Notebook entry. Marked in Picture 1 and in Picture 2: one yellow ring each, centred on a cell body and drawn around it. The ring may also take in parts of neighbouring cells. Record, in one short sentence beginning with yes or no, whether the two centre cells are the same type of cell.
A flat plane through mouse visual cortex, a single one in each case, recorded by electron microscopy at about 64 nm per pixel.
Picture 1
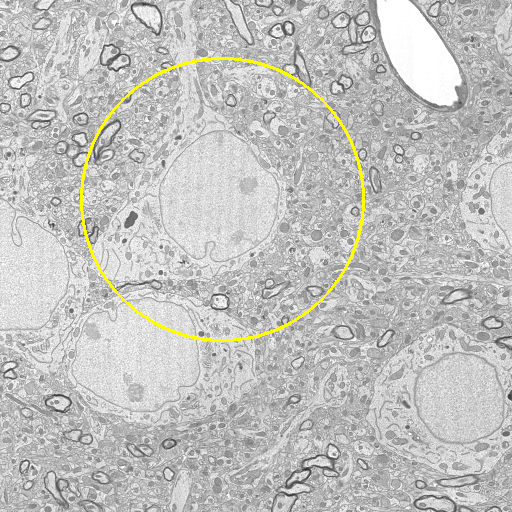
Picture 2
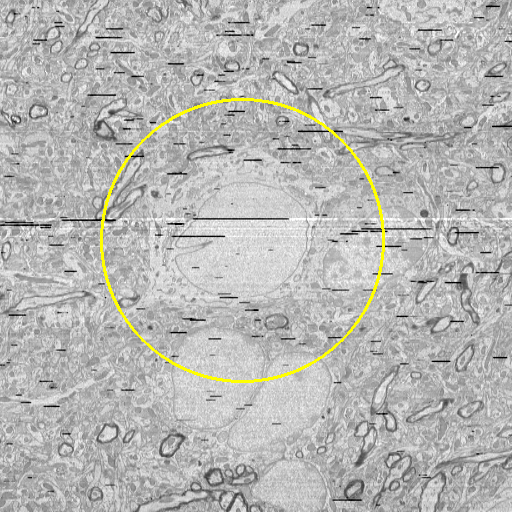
Yes, both are the same type of cell.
